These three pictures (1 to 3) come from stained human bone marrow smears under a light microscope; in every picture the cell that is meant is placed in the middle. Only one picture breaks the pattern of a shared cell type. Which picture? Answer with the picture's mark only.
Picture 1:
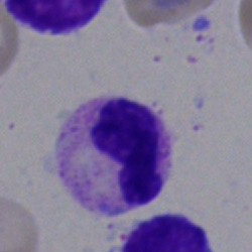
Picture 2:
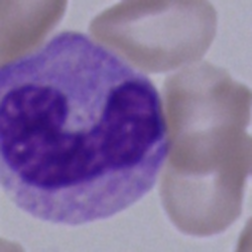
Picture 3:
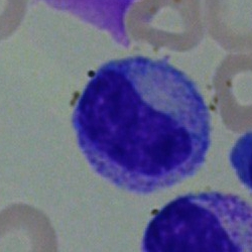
3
